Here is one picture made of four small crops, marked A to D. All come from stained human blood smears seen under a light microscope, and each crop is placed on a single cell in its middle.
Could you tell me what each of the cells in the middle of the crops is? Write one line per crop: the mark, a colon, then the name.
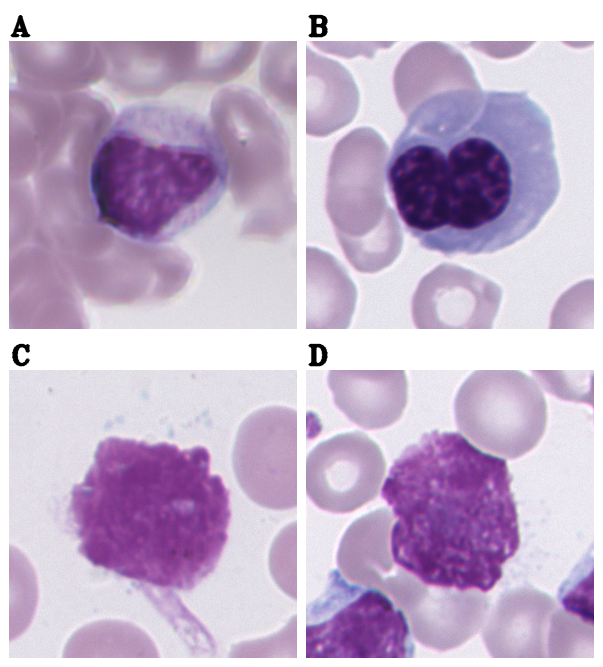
A: metamyelocyte
B: normoblast
C: smudge cell
D: smudge cell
